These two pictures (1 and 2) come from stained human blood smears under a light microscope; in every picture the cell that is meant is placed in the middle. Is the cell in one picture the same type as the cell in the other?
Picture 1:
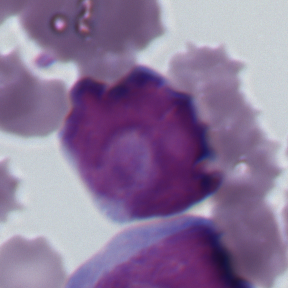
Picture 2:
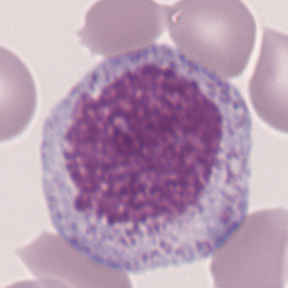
no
